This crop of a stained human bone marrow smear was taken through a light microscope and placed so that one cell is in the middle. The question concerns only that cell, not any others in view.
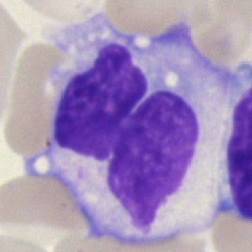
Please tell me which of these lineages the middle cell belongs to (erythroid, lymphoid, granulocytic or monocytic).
monocytic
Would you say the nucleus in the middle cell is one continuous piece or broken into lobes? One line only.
Multiple nuclear lobes, two or more, can be counted in this cell.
